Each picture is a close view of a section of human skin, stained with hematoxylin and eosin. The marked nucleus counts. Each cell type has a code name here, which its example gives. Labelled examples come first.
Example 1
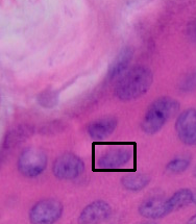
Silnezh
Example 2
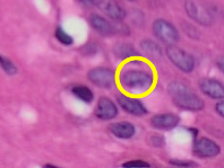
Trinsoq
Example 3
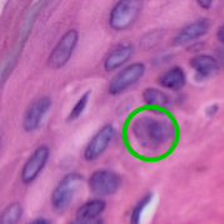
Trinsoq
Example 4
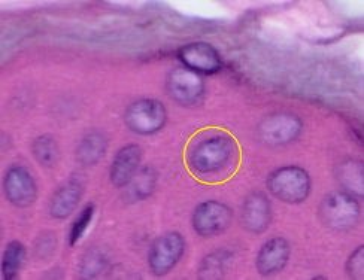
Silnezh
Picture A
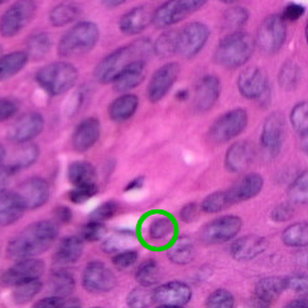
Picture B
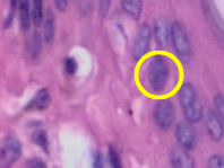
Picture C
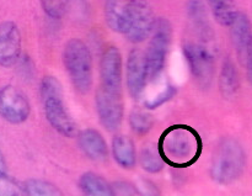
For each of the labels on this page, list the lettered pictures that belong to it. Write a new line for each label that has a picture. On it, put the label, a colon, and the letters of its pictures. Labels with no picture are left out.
Trinsoq: A, B, C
